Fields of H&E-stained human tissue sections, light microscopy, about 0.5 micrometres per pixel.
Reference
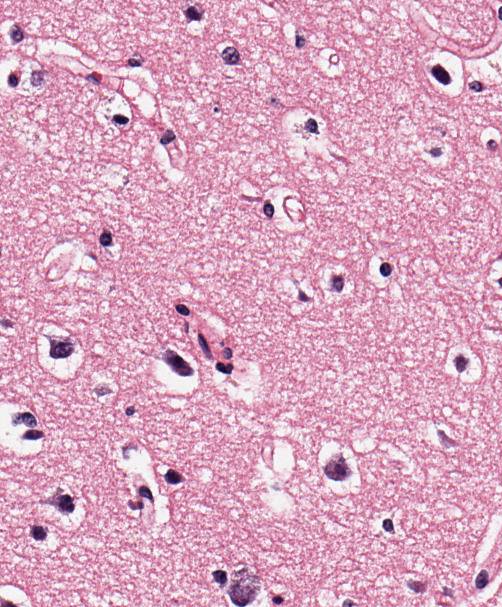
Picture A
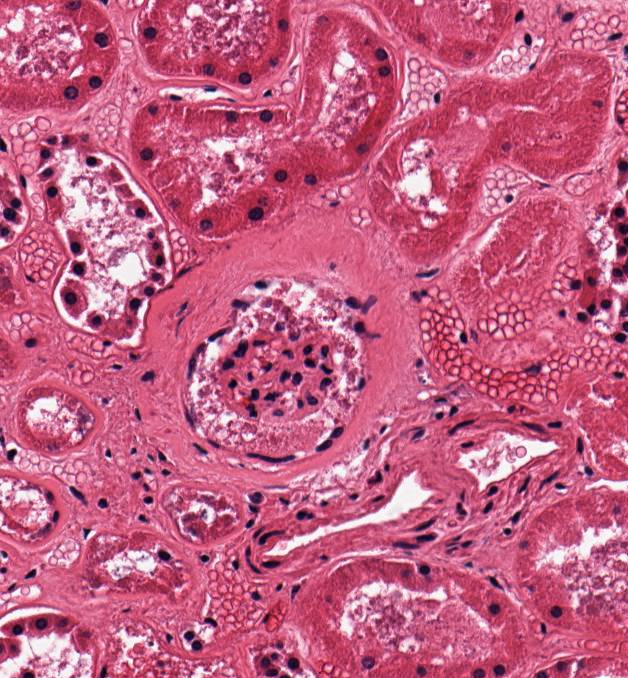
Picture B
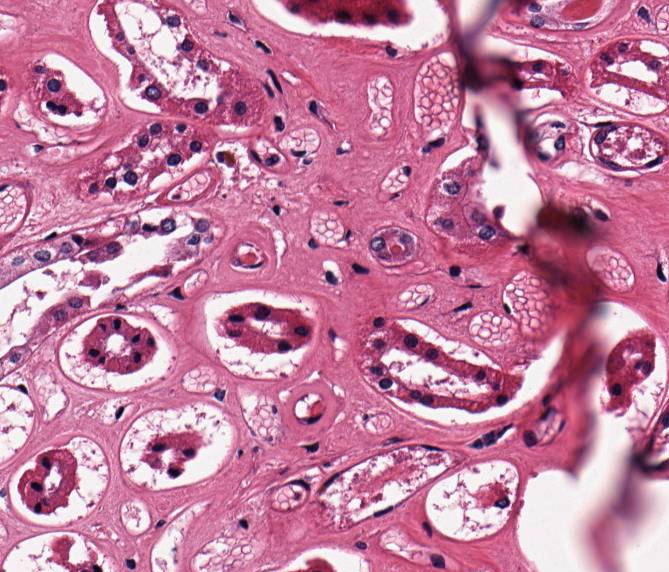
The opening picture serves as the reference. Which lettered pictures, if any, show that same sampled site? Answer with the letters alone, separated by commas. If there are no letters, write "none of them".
none of them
